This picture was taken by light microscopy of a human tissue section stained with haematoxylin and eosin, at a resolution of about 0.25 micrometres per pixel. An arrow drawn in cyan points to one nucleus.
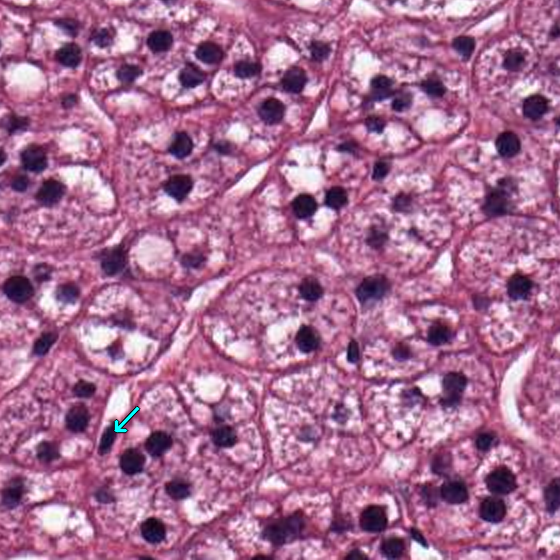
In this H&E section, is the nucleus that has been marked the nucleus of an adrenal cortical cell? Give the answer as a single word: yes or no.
no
